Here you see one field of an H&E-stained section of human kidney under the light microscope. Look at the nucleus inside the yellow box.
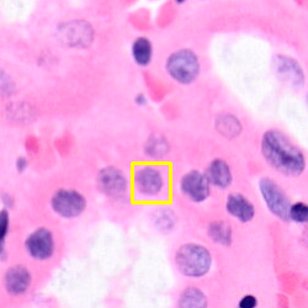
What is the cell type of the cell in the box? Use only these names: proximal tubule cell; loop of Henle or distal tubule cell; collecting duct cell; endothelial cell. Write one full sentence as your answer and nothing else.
In short, the cell in the box on this section is a loop of Henle or distal tubule cell.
